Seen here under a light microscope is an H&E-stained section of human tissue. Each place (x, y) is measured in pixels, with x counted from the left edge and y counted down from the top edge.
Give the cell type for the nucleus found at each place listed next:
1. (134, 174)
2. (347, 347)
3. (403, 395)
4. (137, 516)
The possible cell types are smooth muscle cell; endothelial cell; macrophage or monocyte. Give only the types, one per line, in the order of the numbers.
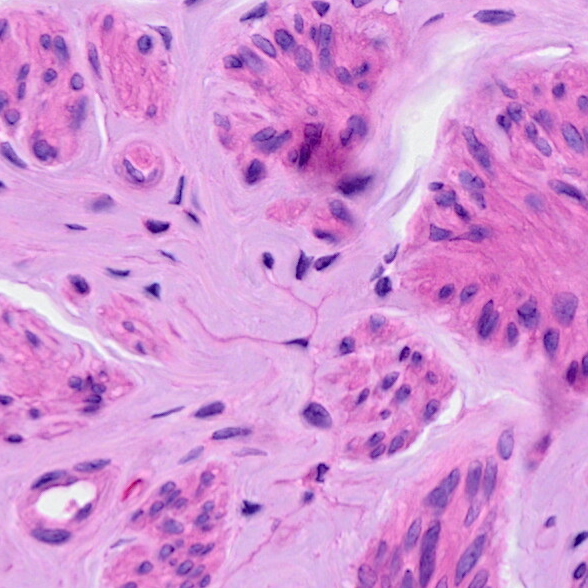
endothelial cell
smooth muscle cell
smooth muscle cell
smooth muscle cell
